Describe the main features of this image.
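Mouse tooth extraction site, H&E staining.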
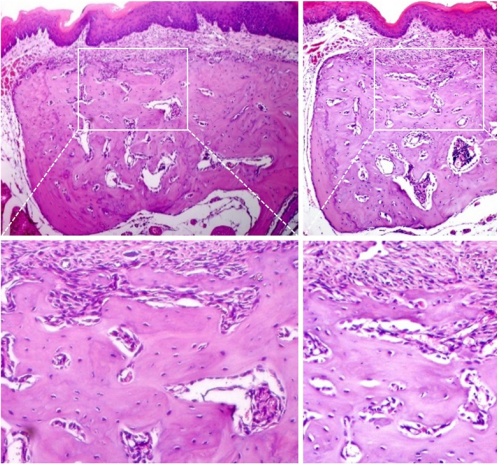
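A stratified squamous epithelium with a dense cell layer runs along the top, and a loose, cell-rich connective tissue lies beneath it. Below that, pink bone fills most of the field. Small dark nuclei sit in lacunae scattered through this bone, and irregular spaces within it hold cells and vessels.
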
